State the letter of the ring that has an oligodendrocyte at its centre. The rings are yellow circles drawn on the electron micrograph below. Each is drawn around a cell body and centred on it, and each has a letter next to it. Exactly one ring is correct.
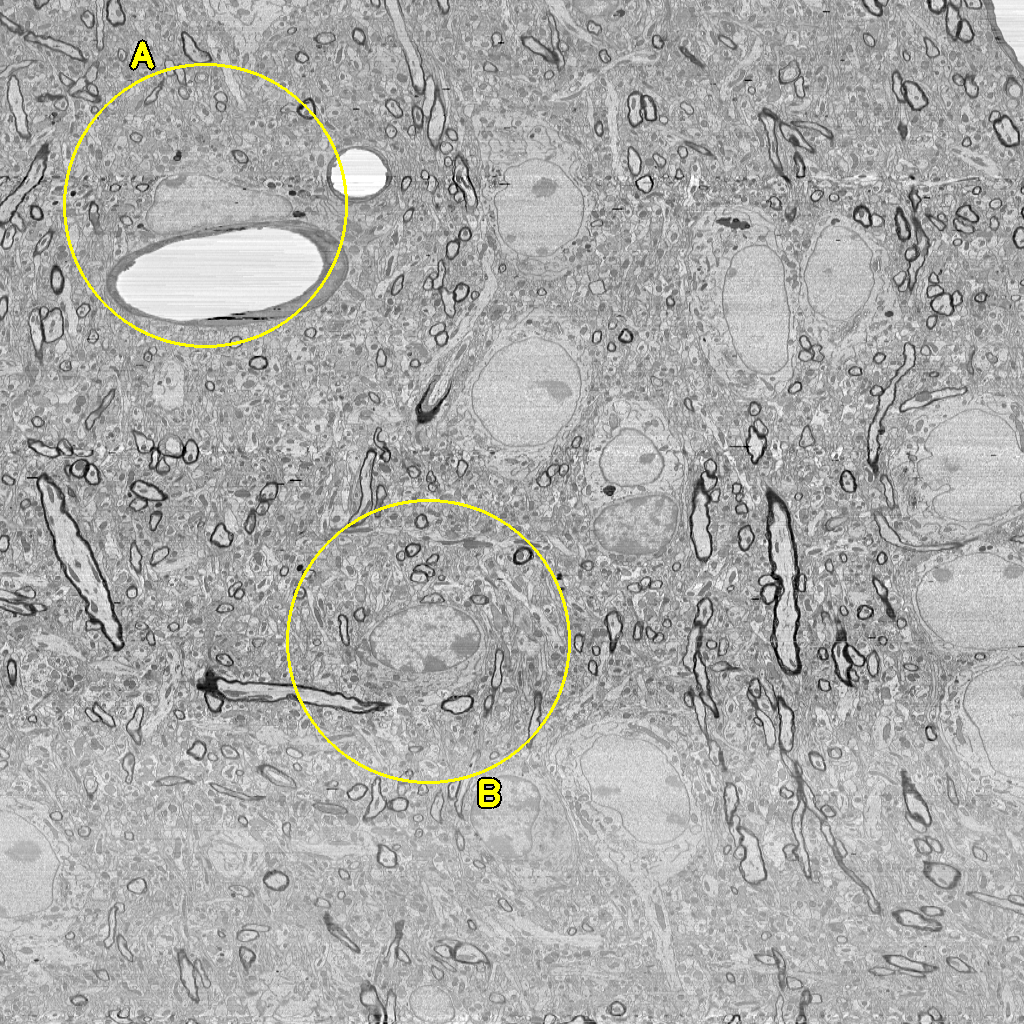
B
